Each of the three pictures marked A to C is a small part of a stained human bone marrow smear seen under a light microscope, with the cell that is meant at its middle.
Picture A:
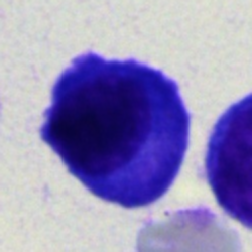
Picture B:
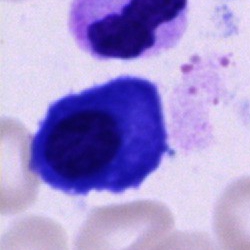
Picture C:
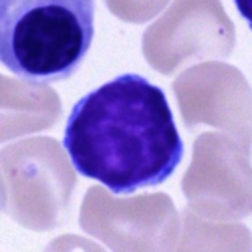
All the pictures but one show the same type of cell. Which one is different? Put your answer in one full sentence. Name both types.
Picture C is the odd one out: it shows a lymphocyte, while the others show plasma cells.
